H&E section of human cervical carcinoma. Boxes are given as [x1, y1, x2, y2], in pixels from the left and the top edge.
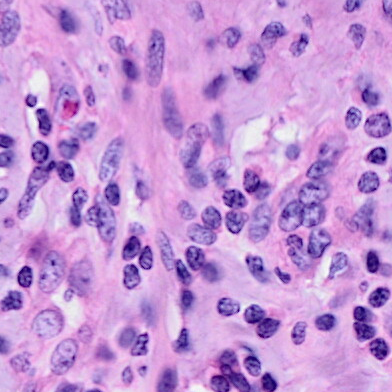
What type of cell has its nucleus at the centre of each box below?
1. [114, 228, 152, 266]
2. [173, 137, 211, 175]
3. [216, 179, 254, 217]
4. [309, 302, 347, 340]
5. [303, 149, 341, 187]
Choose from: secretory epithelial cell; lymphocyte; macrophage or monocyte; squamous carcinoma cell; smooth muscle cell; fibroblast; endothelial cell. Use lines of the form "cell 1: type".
cell 1: lymphocyte
cell 2: fibroblast
cell 3: lymphocyte
cell 4: lymphocyte
cell 5: endothelial cell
